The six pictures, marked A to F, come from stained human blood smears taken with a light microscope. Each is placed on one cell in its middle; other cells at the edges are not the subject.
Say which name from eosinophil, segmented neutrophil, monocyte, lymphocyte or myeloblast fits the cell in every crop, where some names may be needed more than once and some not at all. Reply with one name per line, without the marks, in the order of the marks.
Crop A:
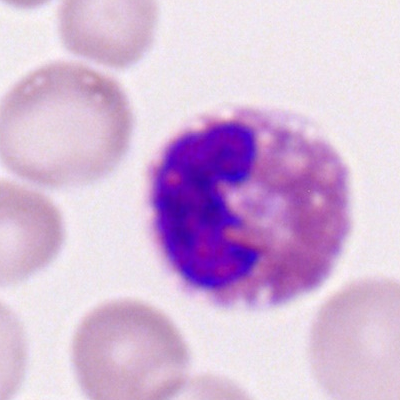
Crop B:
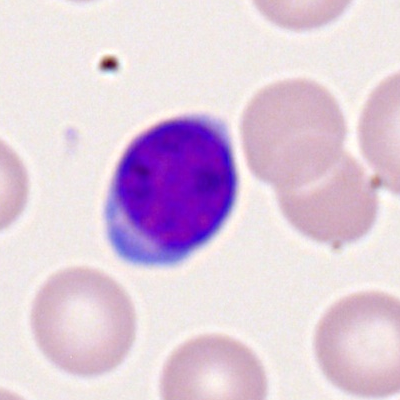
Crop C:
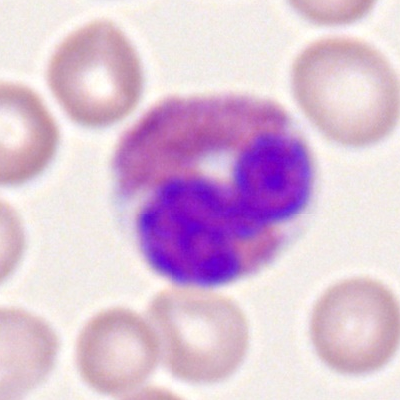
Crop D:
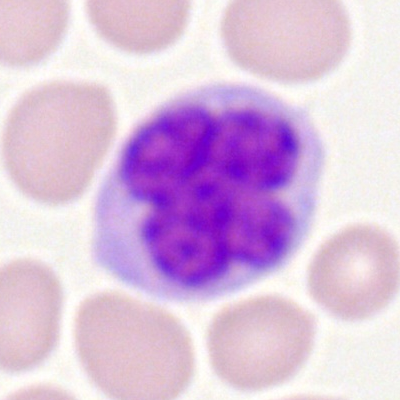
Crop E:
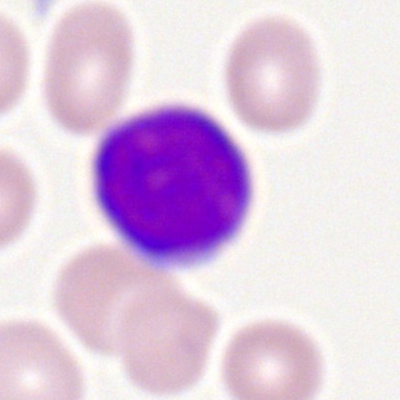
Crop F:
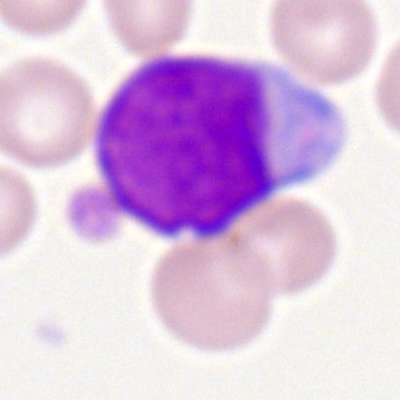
eosinophil
lymphocyte
eosinophil
monocyte
myeloblast
myeloblast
